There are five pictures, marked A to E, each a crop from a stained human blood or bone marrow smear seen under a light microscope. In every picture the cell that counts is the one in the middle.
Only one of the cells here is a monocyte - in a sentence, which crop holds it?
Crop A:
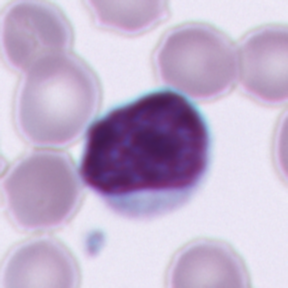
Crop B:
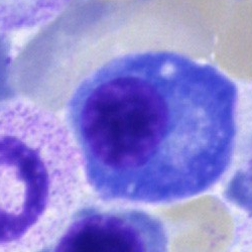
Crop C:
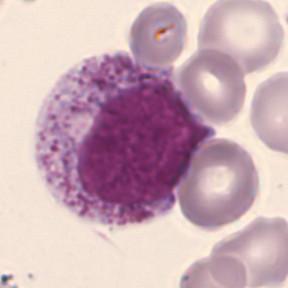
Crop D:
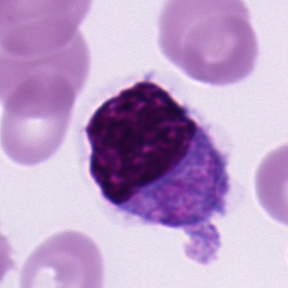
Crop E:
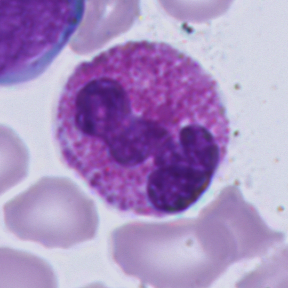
Crop D is the one depicting a monocyte.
